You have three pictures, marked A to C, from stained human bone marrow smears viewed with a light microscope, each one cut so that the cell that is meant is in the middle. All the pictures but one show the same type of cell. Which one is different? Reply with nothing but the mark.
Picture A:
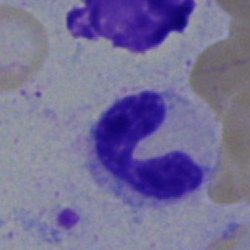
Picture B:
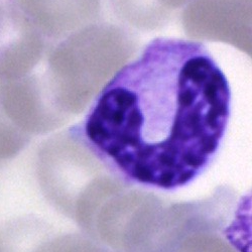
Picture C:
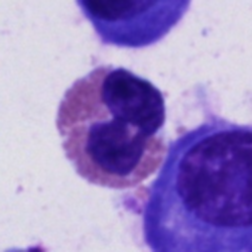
C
